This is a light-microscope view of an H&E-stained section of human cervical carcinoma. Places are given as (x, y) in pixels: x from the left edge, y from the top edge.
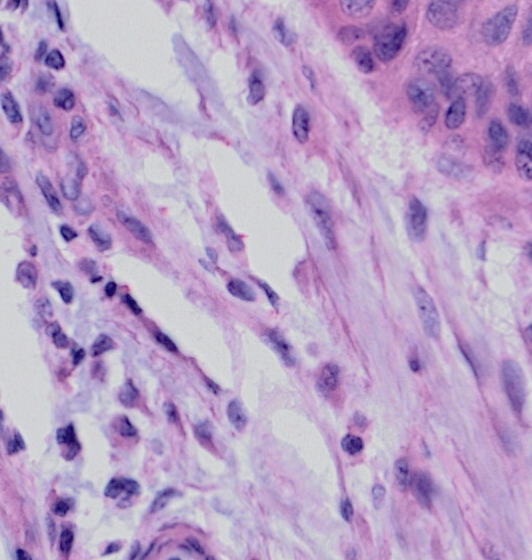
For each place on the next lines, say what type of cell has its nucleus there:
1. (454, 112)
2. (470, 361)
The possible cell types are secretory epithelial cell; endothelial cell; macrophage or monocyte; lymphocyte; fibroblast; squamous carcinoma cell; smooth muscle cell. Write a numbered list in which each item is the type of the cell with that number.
1. squamous carcinoma cell
2. fibroblast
